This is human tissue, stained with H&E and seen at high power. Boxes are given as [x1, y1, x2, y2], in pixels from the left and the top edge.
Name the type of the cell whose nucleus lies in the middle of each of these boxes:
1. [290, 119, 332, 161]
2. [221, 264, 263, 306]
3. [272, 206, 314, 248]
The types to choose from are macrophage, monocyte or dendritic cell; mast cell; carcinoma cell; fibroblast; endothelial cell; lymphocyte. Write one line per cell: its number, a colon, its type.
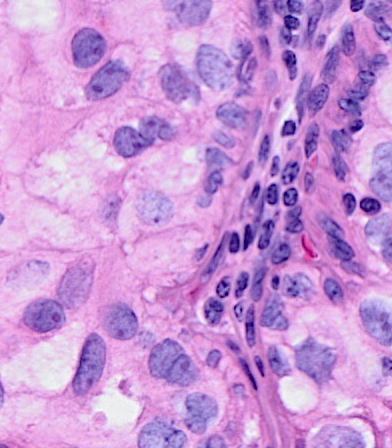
1: endothelial cell
2: lymphocyte
3: endothelial cell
